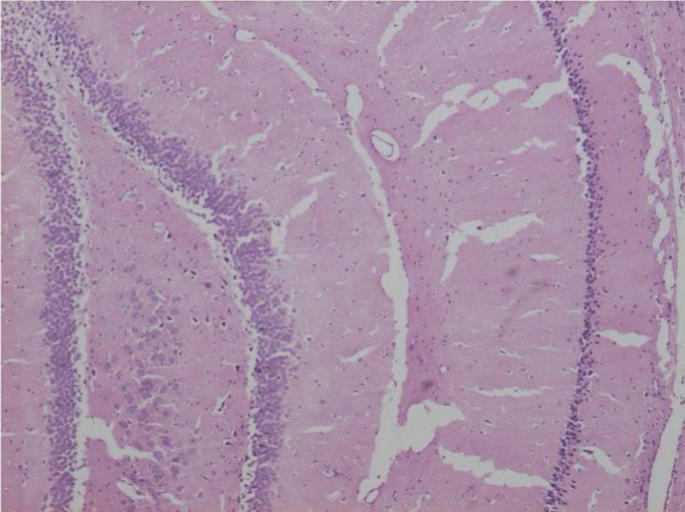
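Brain tissue stained with haematoxylin and eosin shows curved bands of densely packed, purple-stained nuclei set in pale pink neuropil. Numerous irregular, elongated white clefts run through the neuropil and along the cell bands, splitting the tissue into strips. Between the bands, a looser group of paler, rounded cells lies amid the pink matrix, and scattered small dark nuclei are spread through the neuropil.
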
